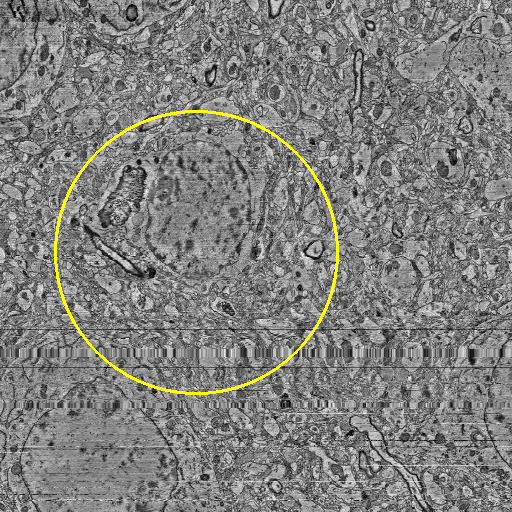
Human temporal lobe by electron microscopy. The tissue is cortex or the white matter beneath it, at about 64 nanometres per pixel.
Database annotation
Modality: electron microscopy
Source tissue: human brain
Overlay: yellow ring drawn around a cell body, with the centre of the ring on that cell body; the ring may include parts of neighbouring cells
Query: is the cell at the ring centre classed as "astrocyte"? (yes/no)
yes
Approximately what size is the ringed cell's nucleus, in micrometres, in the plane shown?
In this plane the nucleus measures roughly 9 by 7 micrometers.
